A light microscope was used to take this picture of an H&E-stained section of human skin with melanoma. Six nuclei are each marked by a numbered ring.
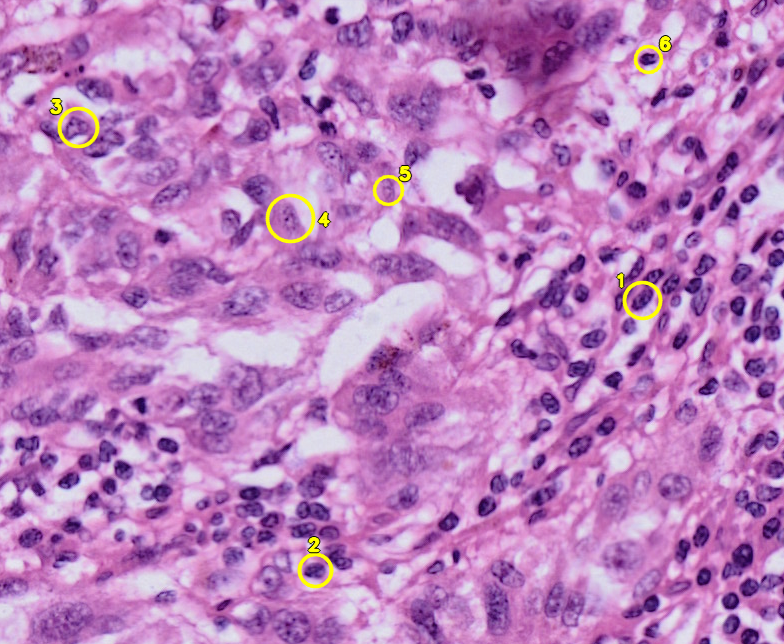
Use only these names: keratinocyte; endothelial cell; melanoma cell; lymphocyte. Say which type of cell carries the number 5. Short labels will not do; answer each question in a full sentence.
The marked nucleus 5 is that of a melanoma cell.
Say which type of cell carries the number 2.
In this section, number 2 marks a lymphocyte.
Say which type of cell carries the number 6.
The numbered cell 6 in this field is a lymphocyte.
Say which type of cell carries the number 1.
The cell pointed out as number 1 is a lymphocyte.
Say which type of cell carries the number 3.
In the tissue shown, cell 3 is a melanoma cell.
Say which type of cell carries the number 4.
The cell that is numbered 4 is a melanoma cell.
